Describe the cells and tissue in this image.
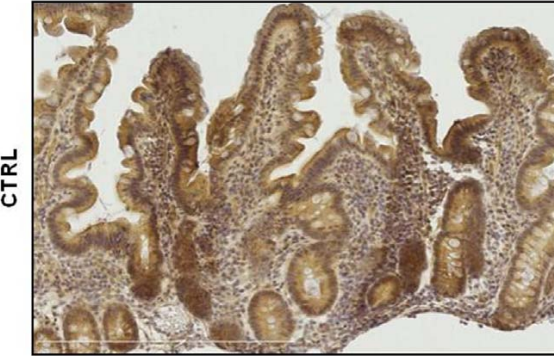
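This is small intestinal mucosa with tall villi and crypts beneath them. The villi are finger-like projections covered by a single layer of columnar epithelium with a core of loose connective tissue holding small nuclei. The crypts appear as brown tubular and round glandular profiles at the base of the mucosa.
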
